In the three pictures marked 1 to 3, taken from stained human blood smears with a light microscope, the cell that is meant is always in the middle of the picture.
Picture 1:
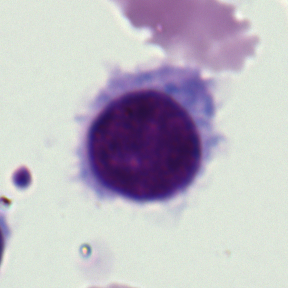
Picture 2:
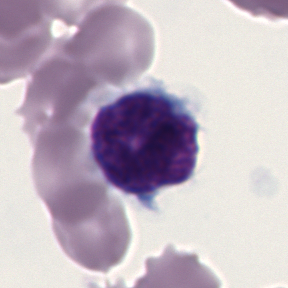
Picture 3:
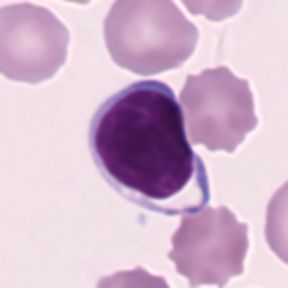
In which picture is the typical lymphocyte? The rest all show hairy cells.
3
